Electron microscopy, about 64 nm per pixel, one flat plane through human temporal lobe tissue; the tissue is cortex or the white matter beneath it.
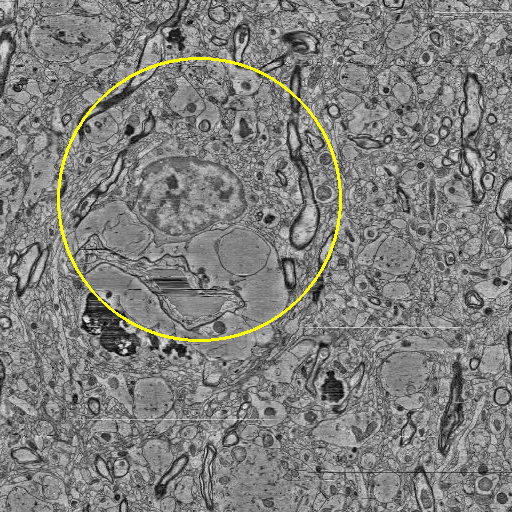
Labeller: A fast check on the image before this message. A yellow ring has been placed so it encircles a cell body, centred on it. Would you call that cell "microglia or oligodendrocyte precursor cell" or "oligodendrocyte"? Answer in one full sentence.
In this image, an oligodendrocyte is the cell on which the yellow ring is centred.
